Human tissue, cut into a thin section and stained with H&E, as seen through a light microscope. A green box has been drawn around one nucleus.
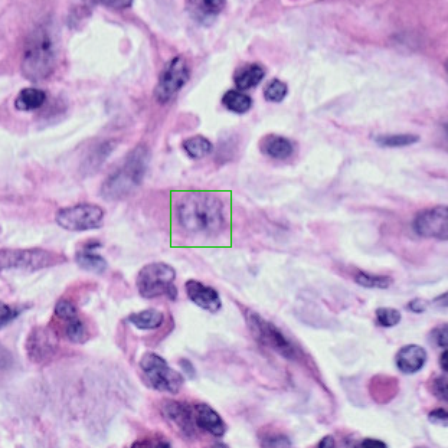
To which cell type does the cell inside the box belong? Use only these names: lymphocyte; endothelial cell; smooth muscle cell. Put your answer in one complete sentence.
Speaking plainly, the cell inside the box is nothing other than an endothelial cell.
